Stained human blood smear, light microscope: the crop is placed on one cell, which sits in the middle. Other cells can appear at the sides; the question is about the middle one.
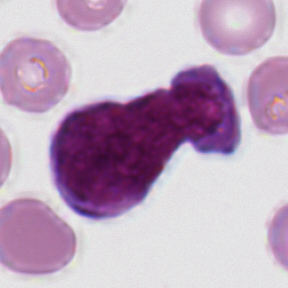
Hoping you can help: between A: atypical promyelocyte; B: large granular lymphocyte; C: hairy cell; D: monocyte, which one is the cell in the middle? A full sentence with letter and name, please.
Option A is right in identifying the central cell as an atypical promyelocyte.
